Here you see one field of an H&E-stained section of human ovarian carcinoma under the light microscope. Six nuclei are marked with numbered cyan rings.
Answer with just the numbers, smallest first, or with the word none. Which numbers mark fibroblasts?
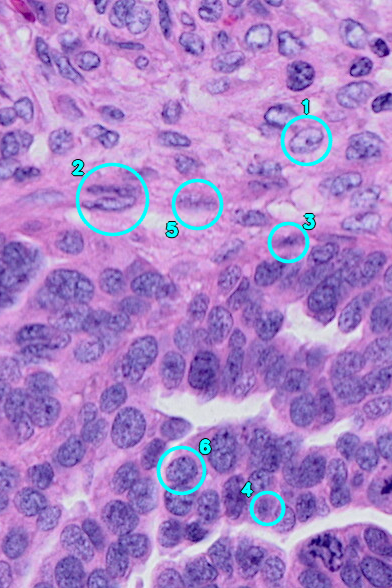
1, 2, 3, 5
